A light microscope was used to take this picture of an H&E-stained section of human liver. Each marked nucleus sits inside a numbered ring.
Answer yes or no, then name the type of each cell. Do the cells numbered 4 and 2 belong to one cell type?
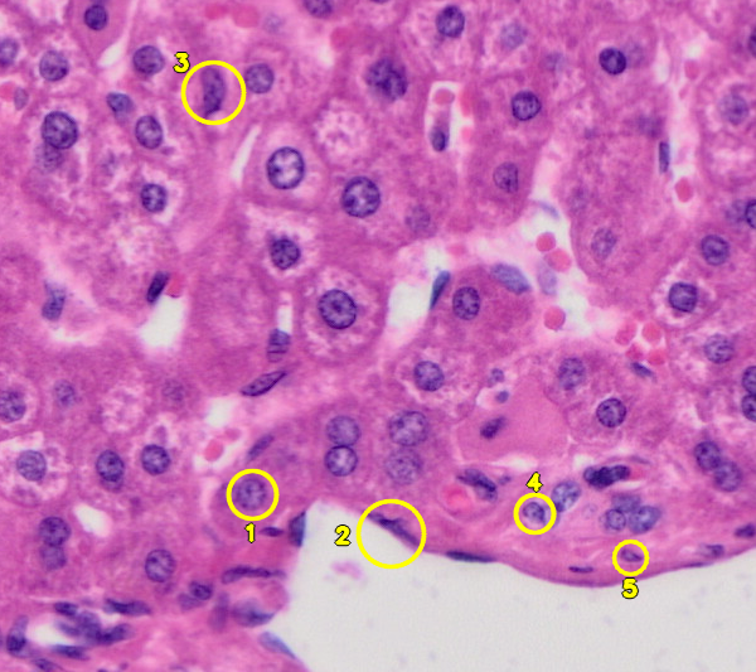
No, cell 4 is categorized as a cholangiocyte, while cell 2 is categorized as a fibroblast or stellate cell.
